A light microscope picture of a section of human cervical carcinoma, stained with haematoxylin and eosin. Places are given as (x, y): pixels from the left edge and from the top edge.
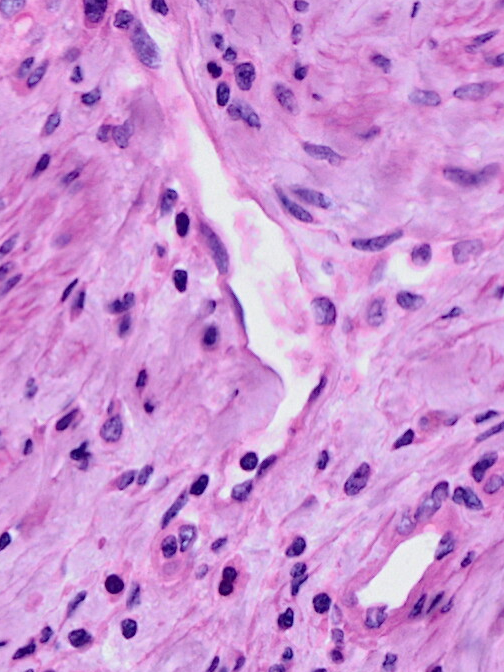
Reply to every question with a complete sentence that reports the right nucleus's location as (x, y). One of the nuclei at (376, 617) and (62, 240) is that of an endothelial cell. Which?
The nucleus that belongs to an endothelial cell sits at (376, 617).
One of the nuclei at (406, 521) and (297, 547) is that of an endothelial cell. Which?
It is the nucleus at (406, 521) that belongs to an endothelial cell.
